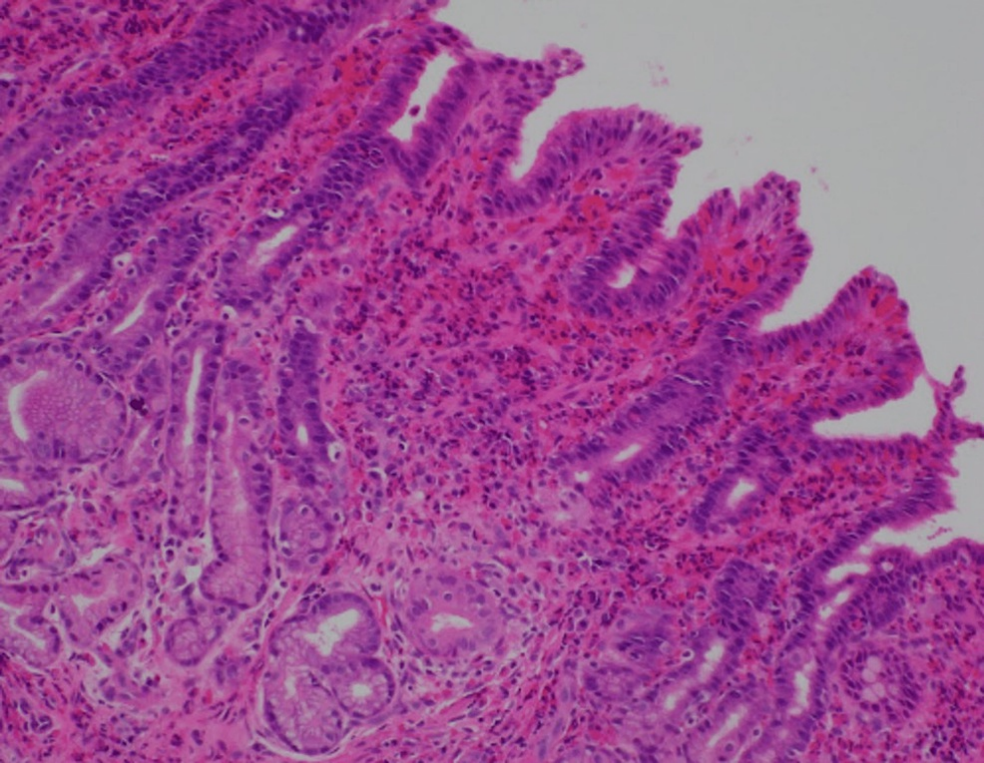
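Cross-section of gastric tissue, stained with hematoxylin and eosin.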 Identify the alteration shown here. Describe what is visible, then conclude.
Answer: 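Epithelial injury. The surface and pit epithelium has crowded, elongated, dark-staining nuclei. The surface cells show little pale mucin at their tops.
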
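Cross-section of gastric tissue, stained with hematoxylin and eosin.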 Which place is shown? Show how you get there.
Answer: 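The densest collection of red-granular cells lies in the connective tissue between and beneath the glands. The surface epithelium and glands line this cell-rich connective tissue. The answer: lamina propria.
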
